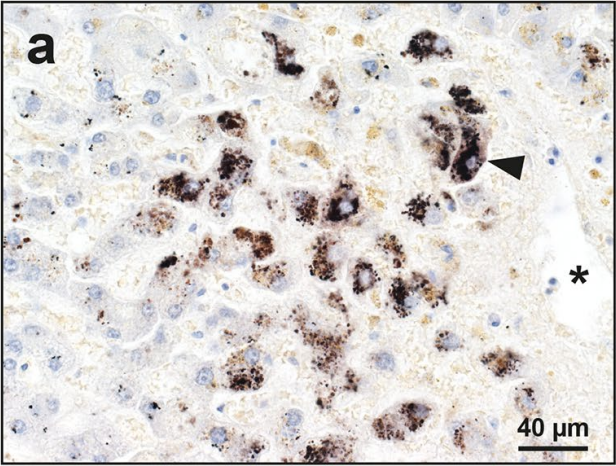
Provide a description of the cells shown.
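This is liver, with hepatocytes arranged in plates and a venule lumen at the right edge. The hepatocytes are large polygonal cells with round pale-blue nuclei and abundant cytoplasm. Many of them, clustered in the field, have cytoplasm filled with dark brown to black granules, some so dense the cell appears almost black. Other hepatocytes show only a faint yellowish background with scattered fine dots.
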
